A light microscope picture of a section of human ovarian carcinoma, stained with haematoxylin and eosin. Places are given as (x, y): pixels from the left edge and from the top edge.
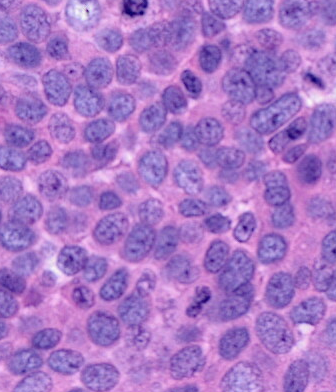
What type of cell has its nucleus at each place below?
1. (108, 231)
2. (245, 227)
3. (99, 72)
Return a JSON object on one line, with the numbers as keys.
{"1": "carcinoma cell", "2": "macrophage or monocyte", "3": "carcinoma cell"}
